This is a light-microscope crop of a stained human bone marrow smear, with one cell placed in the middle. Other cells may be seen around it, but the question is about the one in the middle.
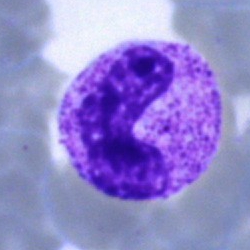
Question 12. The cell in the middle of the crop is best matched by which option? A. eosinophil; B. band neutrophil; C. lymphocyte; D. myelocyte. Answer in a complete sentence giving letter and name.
The cell in the middle is a band neutrophil, and that makes option B correct.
